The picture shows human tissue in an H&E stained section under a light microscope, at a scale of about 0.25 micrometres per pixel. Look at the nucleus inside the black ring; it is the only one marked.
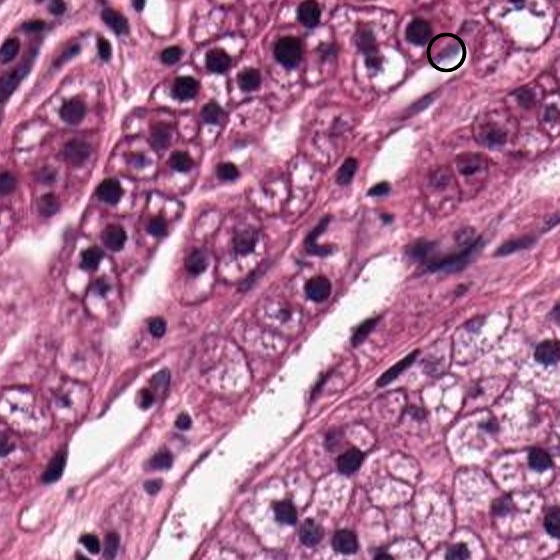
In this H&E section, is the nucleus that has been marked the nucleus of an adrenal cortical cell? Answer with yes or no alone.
no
